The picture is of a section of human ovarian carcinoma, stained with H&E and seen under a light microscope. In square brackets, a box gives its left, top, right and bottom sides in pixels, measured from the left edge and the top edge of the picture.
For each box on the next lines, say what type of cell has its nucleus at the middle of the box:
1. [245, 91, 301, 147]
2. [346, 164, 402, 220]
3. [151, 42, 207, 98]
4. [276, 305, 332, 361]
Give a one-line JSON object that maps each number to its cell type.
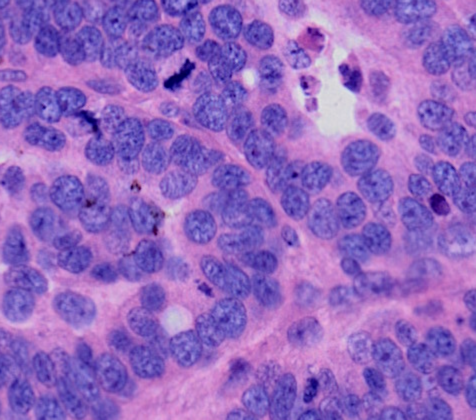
{"1": "carcinoma cell", "2": "carcinoma cell", "3": "carcinoma cell", "4": "fibroblast"}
